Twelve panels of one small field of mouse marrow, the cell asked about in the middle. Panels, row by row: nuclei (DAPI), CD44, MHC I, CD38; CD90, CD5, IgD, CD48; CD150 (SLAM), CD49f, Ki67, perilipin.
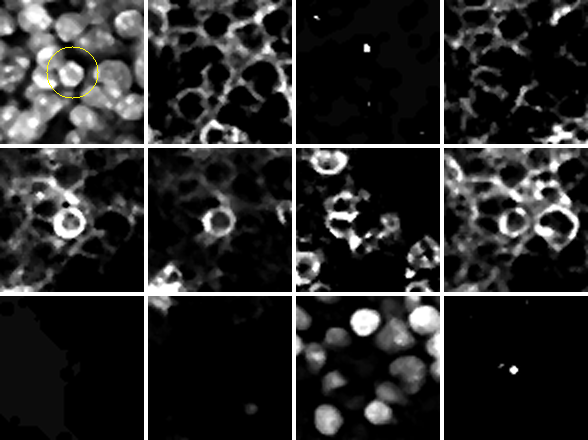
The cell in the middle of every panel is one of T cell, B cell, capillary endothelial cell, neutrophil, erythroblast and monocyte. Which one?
T cell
